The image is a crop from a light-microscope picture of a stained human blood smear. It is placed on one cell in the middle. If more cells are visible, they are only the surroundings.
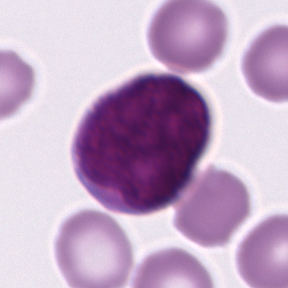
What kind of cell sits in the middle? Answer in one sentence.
The cell occupying the middle of the crop is a myeloblast.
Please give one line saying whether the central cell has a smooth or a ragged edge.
Smooth all around, the outline has no projections to report.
